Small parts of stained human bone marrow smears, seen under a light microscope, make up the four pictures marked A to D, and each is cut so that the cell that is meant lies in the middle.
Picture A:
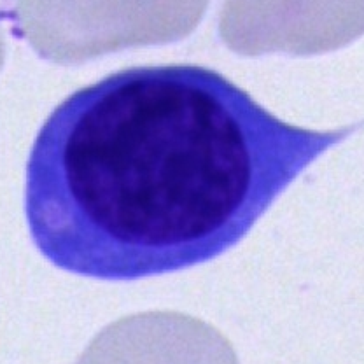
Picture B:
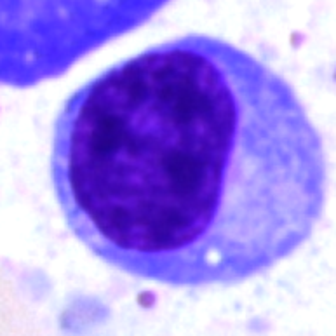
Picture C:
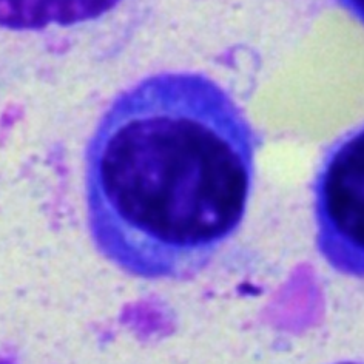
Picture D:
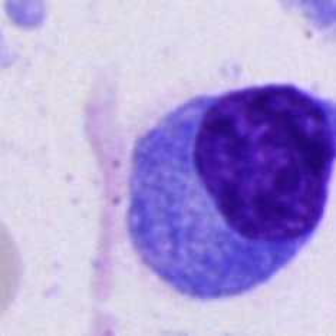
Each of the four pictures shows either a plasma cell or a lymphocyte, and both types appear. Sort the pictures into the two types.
A: plasma cell
B: lymphocyte
C: plasma cell
D: plasma cell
